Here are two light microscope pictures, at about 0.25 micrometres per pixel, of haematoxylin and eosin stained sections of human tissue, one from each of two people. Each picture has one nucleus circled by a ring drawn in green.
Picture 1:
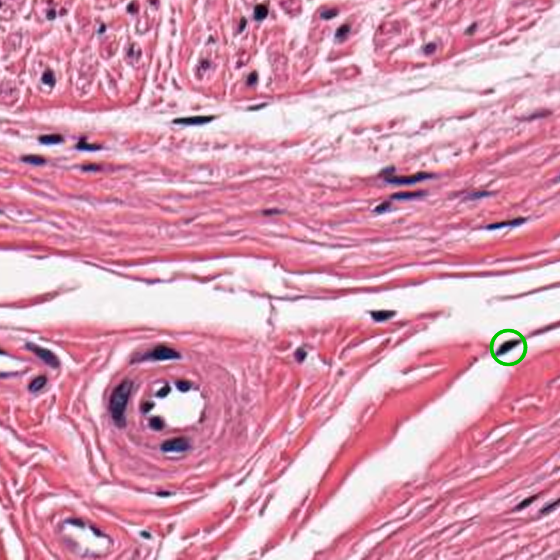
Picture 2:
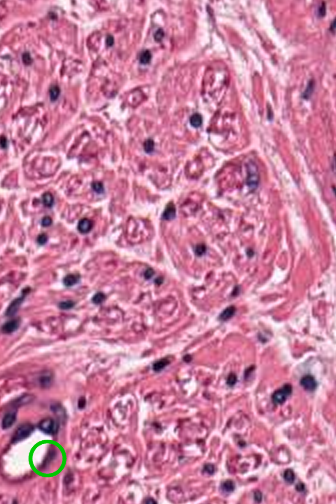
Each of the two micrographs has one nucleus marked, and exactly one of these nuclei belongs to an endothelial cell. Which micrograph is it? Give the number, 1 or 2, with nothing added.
2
